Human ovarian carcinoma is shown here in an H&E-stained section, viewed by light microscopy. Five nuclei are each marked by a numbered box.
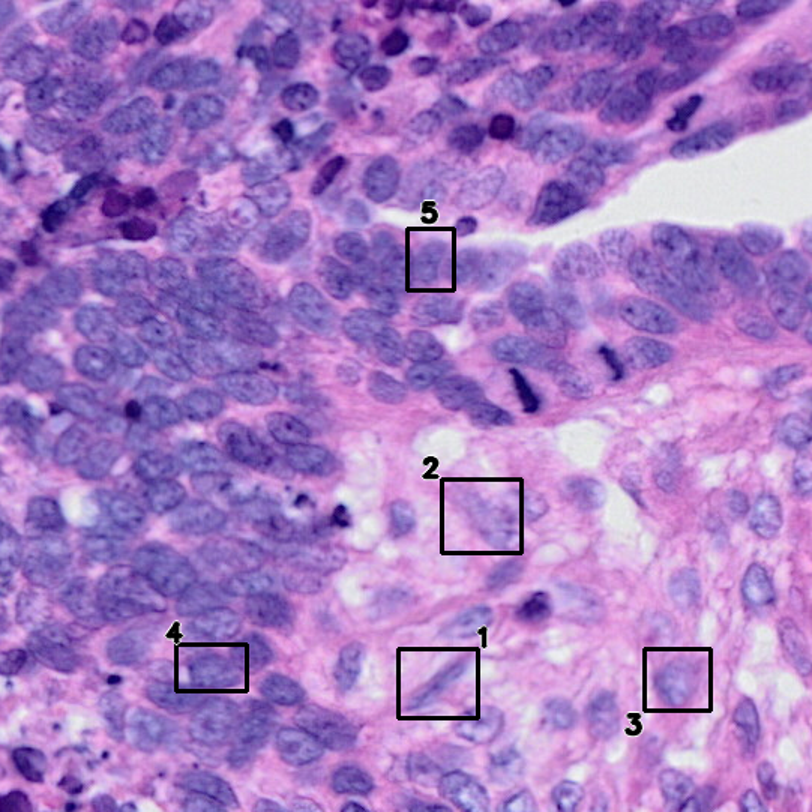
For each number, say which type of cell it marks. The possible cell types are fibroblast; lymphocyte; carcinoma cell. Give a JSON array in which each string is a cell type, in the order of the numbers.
["fibroblast", "fibroblast", "fibroblast", "carcinoma cell", "carcinoma cell"]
